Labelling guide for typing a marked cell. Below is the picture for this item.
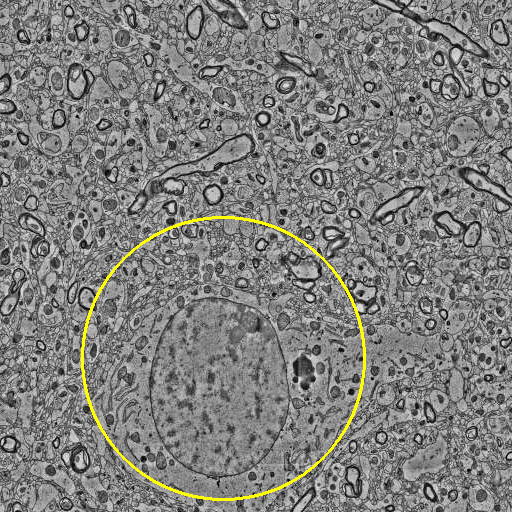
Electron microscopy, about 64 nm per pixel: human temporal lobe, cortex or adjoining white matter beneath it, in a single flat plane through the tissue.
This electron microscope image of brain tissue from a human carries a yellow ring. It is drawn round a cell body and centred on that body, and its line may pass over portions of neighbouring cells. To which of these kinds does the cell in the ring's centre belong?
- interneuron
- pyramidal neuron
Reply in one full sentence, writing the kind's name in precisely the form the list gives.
Here we have an interneuron at the centre of the yellow ring in the picture.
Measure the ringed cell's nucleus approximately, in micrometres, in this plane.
The nucleus is approximately 11 micrometers long by 9 micrometers wide in this plane.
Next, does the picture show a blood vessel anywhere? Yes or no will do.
No, no vessel shows anywhere in the image.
